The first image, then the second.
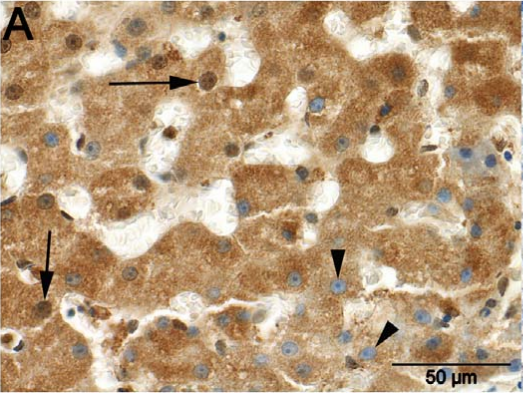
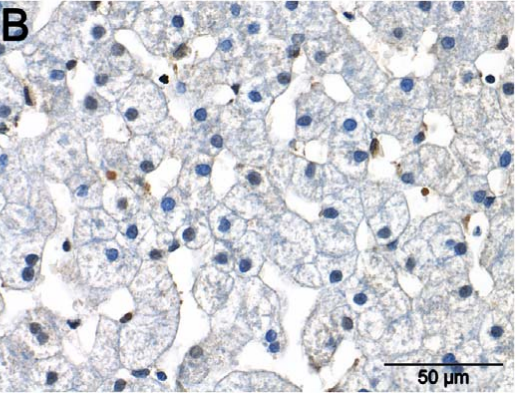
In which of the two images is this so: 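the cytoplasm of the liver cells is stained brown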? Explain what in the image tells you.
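First image: the cytoplasm of the liver cells is densely brown and granular.
Conclusion: the first image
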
